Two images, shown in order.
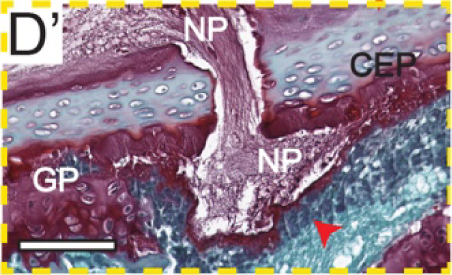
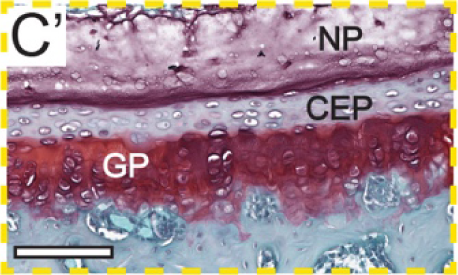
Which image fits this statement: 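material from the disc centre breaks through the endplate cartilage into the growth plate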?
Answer: The first image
